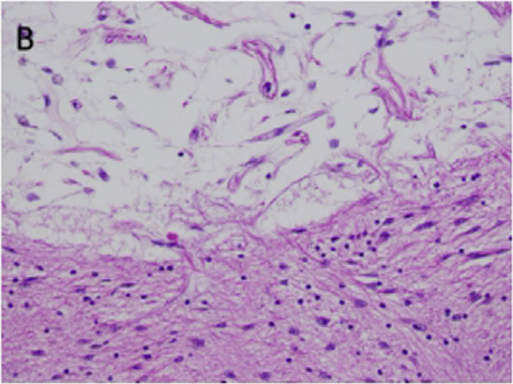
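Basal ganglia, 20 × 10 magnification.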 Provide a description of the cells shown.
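Brain tissue at the edge of a cavity lesion, with loose cavity contents above and dense glial tissue below. The upper half is pale and largely empty, crossed by thin wavy strands and small vessels, with a few scattered rounded and spindle-shaped cells lying free in the space. The lower half is compact and pink, with a fine fibrillary background and many nuclei, several elongated and others oval, some with a rim of pink cytoplasm, arranged closely and loosely in streams. The boundary between the two zones is sharp and irregular, with a thin frayed strip of fibres along it.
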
